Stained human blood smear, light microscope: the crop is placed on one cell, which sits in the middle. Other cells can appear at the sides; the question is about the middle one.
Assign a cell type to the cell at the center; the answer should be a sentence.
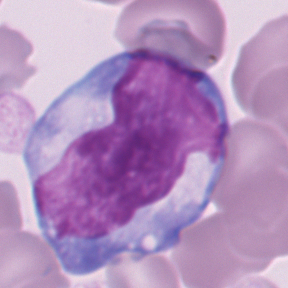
Positioned in the middle of the crop is a monocyte.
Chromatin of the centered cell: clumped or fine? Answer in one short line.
The chromatin here is fine and lacks any coarse clumps.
